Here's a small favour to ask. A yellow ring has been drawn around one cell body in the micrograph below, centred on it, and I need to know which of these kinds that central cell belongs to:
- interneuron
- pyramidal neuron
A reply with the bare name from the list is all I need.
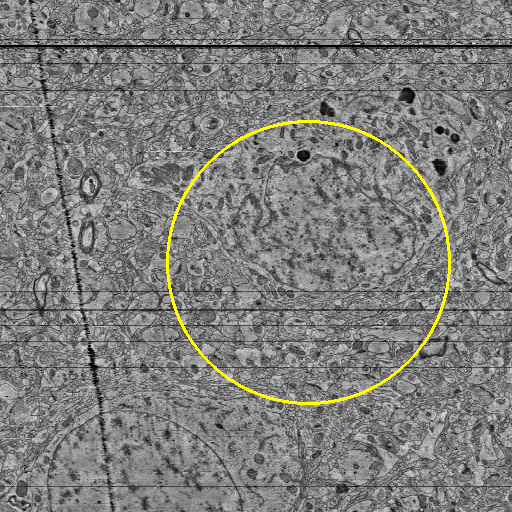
interneuron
